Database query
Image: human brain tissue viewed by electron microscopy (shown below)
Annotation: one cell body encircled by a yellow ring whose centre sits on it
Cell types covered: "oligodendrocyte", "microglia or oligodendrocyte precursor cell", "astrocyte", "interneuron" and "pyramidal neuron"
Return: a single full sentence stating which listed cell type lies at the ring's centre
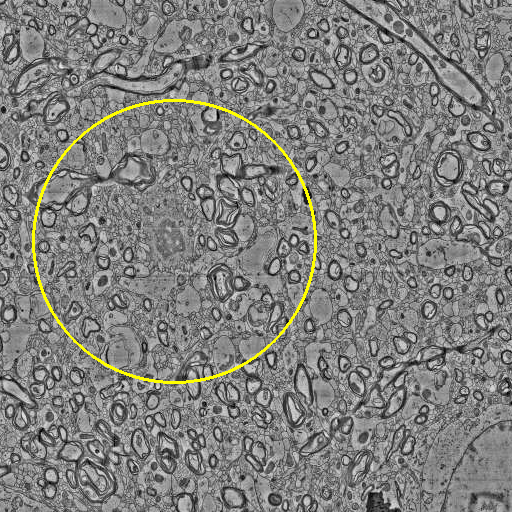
In the image, the cell lying at the ring's centre is an oligodendrocyte.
